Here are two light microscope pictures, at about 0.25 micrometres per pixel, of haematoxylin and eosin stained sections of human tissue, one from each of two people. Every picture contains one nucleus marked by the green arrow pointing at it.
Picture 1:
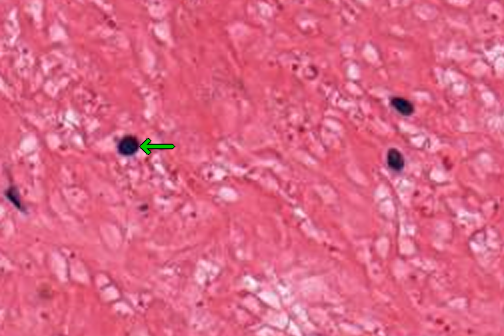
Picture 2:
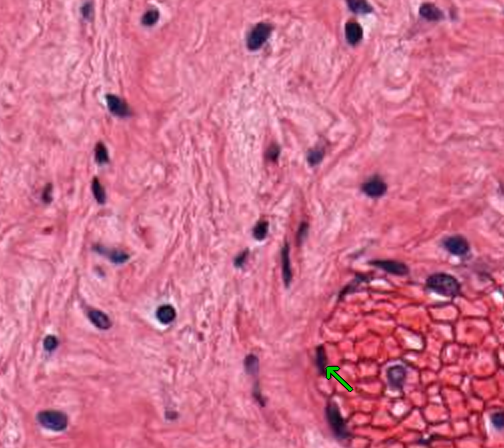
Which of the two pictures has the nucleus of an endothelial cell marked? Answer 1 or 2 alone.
2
